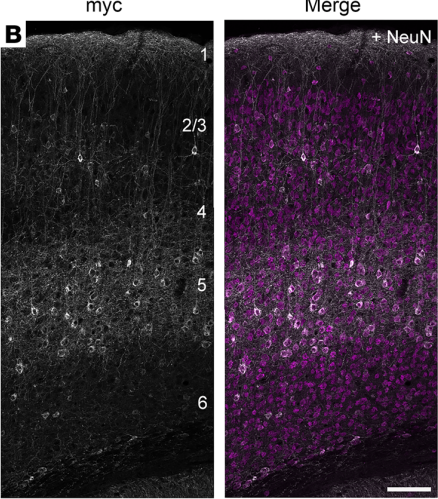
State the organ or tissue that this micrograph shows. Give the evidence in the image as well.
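Cortex. A cell-poor superficial band lies at the top of the section. Densely packed magenta cell bodies fill the depth below it in layered bands.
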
